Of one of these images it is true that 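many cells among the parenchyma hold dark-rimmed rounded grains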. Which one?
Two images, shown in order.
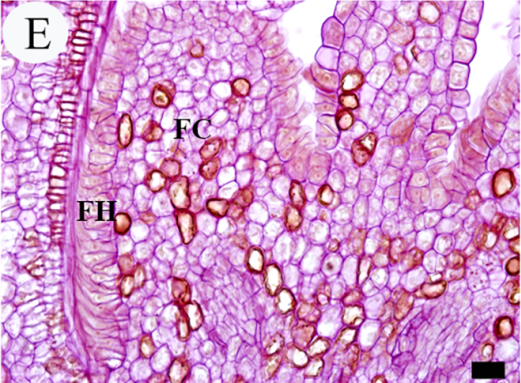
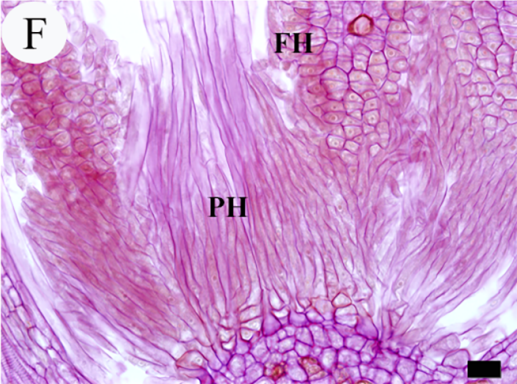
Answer: The first image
